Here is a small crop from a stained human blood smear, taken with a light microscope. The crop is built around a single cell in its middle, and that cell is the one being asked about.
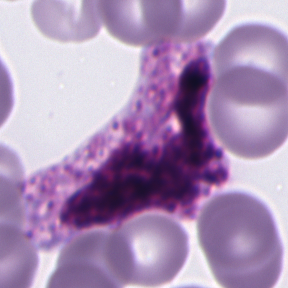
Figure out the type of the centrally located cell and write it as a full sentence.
Classification of the middle cell gives a basophil.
